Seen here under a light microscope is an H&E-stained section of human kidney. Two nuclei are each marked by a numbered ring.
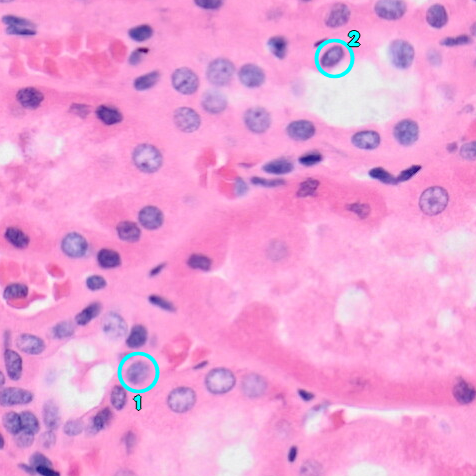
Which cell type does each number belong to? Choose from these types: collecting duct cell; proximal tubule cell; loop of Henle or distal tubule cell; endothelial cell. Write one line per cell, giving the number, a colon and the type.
1: collecting duct cell
2: loop of Henle or distal tubule cell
